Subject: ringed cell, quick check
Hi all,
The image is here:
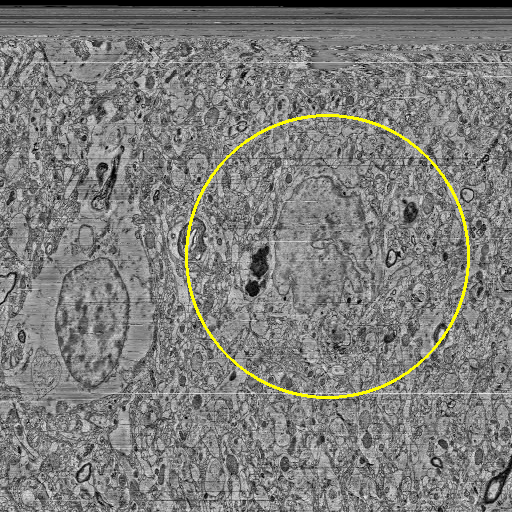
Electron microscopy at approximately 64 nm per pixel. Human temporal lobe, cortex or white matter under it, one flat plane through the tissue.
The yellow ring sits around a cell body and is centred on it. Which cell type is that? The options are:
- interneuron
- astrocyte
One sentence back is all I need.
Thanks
That ringed cell is an interneuron.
